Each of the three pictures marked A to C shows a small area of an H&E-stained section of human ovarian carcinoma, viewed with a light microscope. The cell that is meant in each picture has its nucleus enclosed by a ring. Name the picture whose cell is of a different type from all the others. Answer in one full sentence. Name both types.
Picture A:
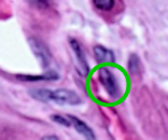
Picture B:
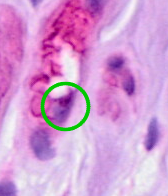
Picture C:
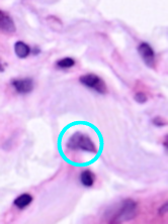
Unlike the rest, which show endothelial cells, picture C shows a fibroblast.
